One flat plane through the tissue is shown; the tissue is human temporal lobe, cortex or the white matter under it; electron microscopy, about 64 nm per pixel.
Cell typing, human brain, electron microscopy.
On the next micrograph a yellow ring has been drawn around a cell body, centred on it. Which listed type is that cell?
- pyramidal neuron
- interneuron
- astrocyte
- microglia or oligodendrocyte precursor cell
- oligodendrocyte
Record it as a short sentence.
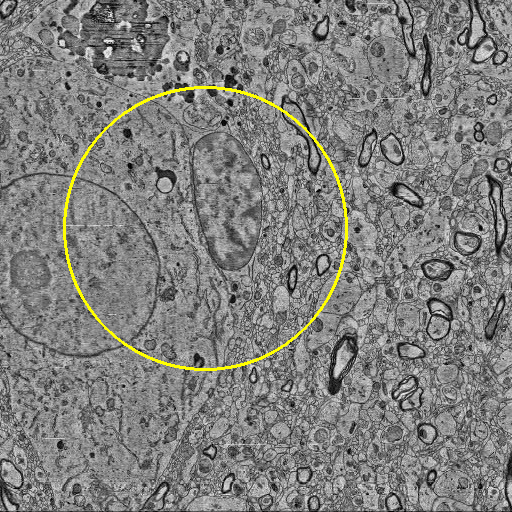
The cell body in the ring's centre belongs to a microglial cell or oligodendrocyte precursor cell.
